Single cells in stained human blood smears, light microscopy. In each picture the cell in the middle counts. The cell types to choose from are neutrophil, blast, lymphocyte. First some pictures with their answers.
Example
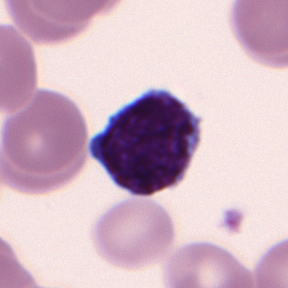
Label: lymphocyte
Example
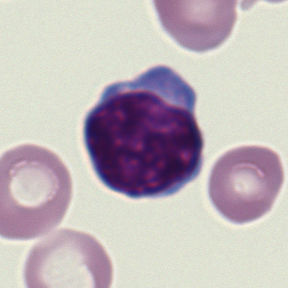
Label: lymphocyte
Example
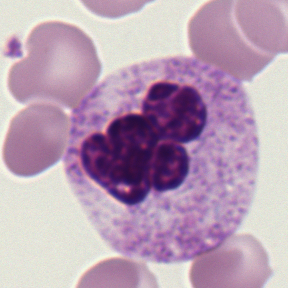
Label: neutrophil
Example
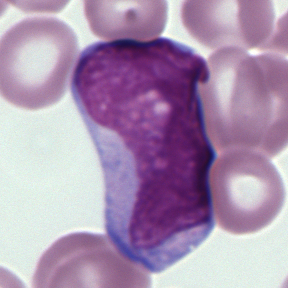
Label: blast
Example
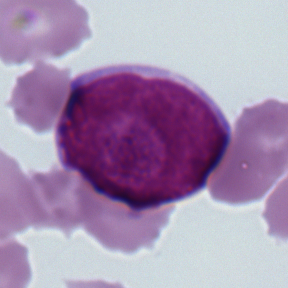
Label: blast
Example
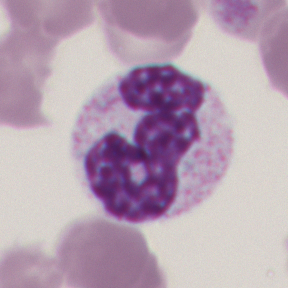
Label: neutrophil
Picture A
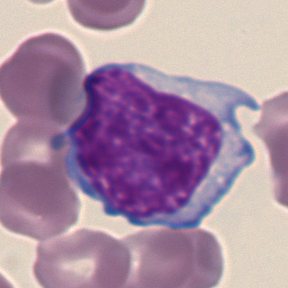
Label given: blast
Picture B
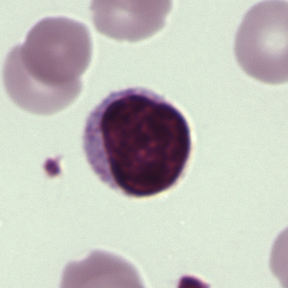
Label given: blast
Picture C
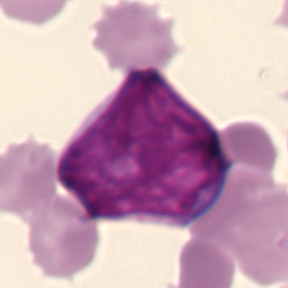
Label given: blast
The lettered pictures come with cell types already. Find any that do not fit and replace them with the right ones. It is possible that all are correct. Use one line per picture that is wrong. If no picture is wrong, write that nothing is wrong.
B is labelled blast; correct label: lymphocyte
